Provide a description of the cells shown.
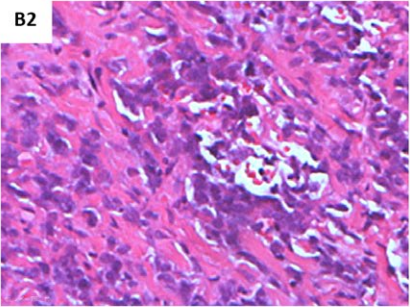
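This is a highly cellular spindle and ovoid cell tumor with marked nuclear pleomorphism. The tumor cells are crowded into sheets and cords separated by bands of bright pink collagen. Their nuclei are enlarged, dark purple and vary considerably in size and shape, some round, some elongated or irregular, with little visible cytoplasm around them. A small thin-walled vessel containing red blood cells lies among the tumor cells, surrounded closely by them. The nuclear crowding and variation in size and shape give an atypical appearance, unlike the bland, evenly spaced spindle cells of an ordinary fibrous tumor.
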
